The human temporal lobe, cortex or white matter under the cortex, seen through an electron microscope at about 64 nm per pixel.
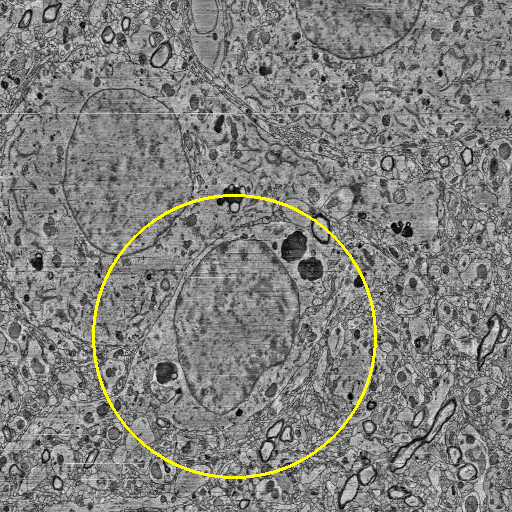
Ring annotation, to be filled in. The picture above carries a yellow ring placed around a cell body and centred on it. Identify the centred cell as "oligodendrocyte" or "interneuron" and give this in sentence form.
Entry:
The cell in the middle of the ring is an interneuron.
